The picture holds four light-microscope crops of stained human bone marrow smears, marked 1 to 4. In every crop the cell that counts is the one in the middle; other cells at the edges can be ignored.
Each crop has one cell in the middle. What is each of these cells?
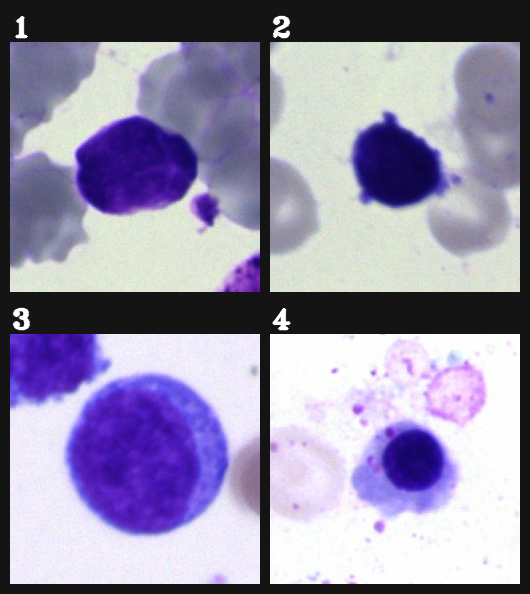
1: lymphocyte
2: lymphocyte
3: blast
4: normoblast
